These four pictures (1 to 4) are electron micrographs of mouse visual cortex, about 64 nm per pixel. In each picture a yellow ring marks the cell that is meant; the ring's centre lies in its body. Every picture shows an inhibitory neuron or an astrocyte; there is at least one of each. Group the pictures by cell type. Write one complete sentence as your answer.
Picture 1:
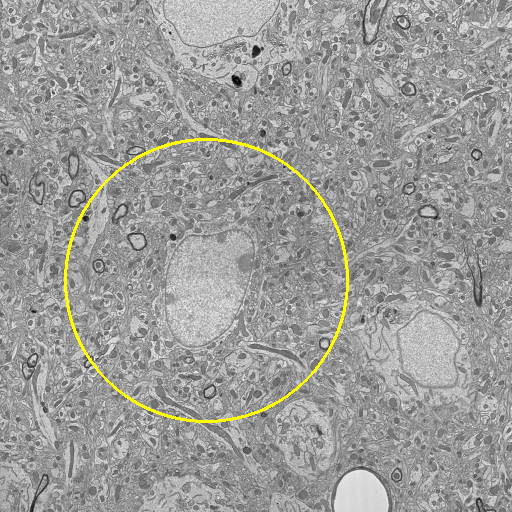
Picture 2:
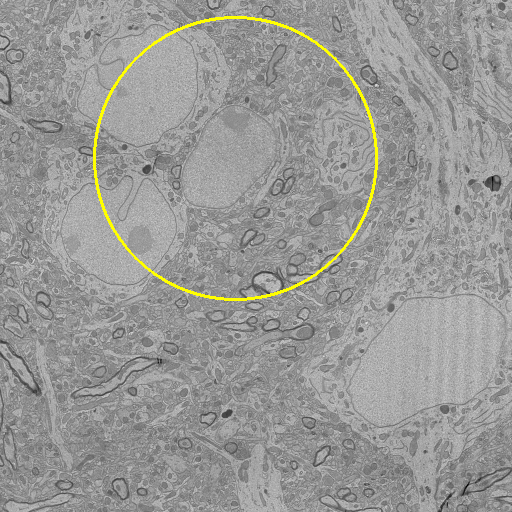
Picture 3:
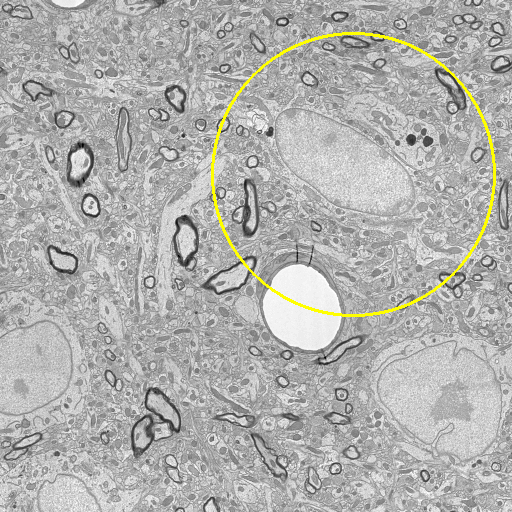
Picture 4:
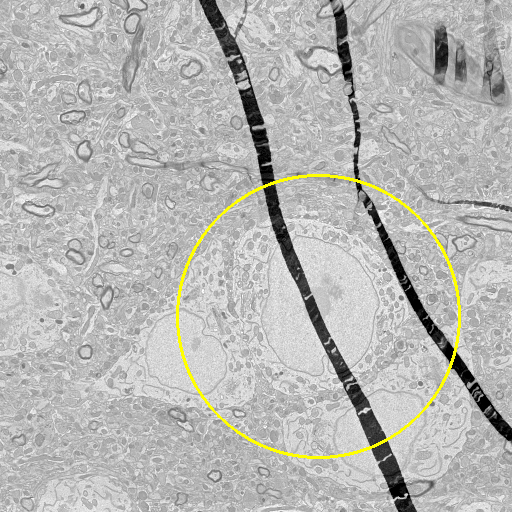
Picture 4 shows an inhibitory neuron, while pictures 1, 2 and 3 show astrocytes.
